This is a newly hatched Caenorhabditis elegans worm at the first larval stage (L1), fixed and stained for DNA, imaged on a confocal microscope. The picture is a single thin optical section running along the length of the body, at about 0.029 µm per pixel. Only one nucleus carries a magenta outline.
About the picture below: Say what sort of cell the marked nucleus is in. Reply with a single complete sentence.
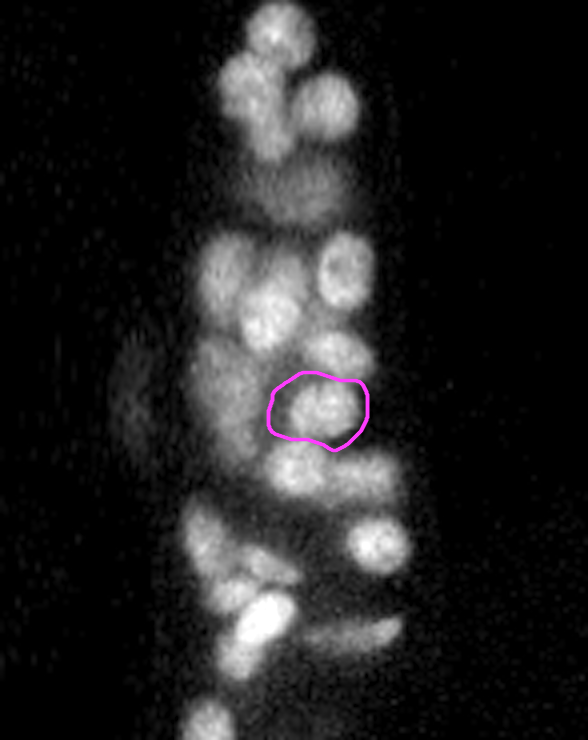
The marked nucleus is that of a neuron.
